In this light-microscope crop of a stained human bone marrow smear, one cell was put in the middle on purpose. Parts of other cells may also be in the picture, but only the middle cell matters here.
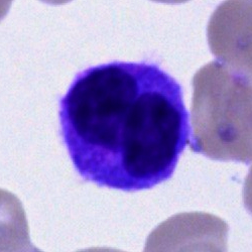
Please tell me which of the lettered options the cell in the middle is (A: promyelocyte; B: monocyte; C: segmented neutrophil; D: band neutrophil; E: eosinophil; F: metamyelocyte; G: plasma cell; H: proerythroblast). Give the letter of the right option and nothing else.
B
